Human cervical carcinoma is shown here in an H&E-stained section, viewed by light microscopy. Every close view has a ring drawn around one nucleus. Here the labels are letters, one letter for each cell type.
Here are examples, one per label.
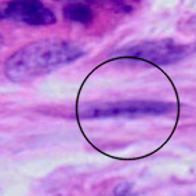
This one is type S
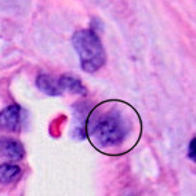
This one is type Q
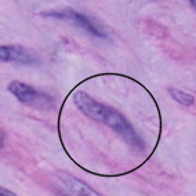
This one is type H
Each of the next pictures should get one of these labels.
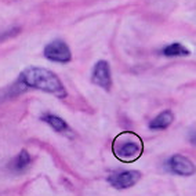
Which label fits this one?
type H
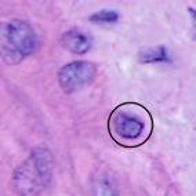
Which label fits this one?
type H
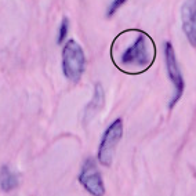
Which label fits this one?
type S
